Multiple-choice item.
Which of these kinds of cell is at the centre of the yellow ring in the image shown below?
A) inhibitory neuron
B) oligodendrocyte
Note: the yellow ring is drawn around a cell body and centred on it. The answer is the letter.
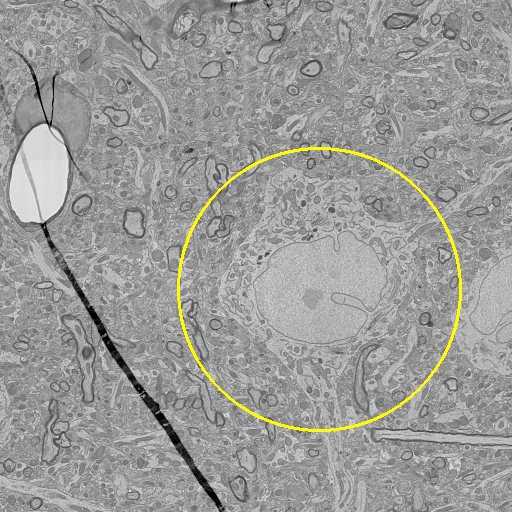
A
